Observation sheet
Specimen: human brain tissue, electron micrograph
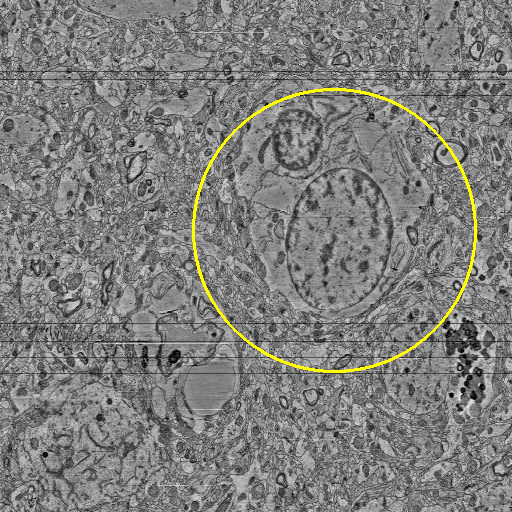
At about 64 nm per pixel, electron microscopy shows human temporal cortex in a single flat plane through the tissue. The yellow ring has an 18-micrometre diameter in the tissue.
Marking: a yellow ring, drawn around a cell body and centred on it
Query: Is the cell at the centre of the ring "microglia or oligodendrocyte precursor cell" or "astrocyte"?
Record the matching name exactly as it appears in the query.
astrocyte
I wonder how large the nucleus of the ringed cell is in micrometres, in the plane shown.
In this plane, roughly 10 by 7 micrometres.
